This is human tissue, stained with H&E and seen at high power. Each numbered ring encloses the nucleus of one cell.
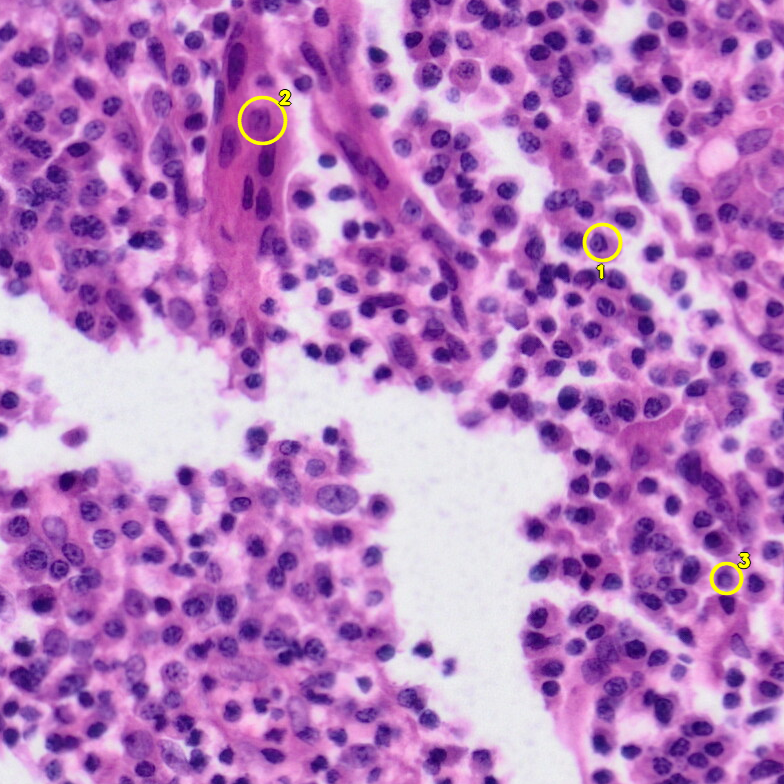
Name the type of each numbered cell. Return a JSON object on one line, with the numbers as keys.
{"1": "plasma cell", "2": "squamous epithelial cell", "3": "plasma cell"}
